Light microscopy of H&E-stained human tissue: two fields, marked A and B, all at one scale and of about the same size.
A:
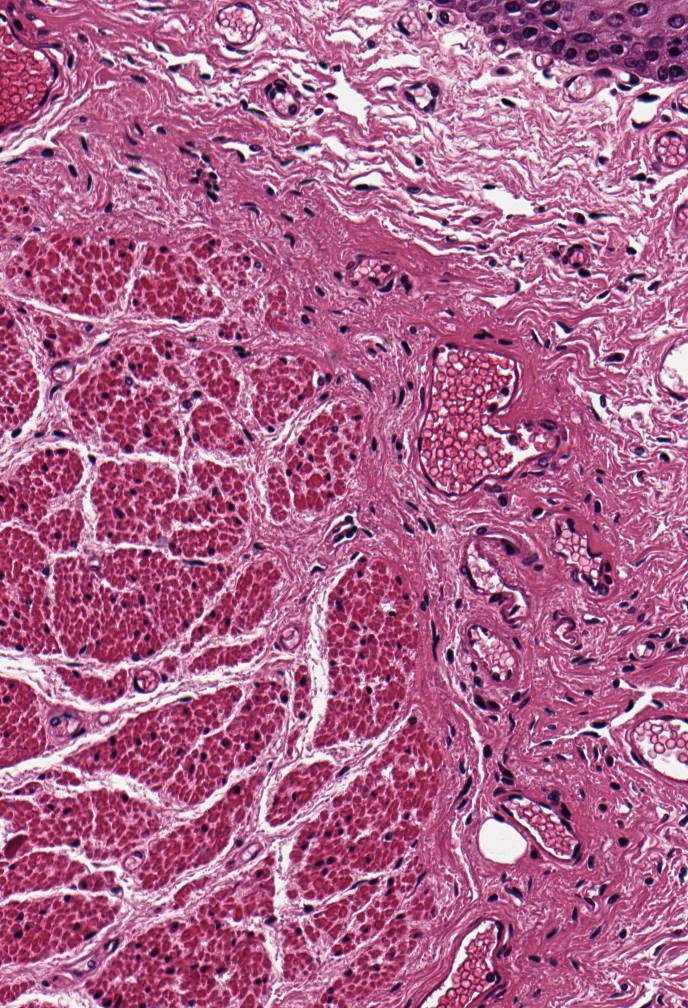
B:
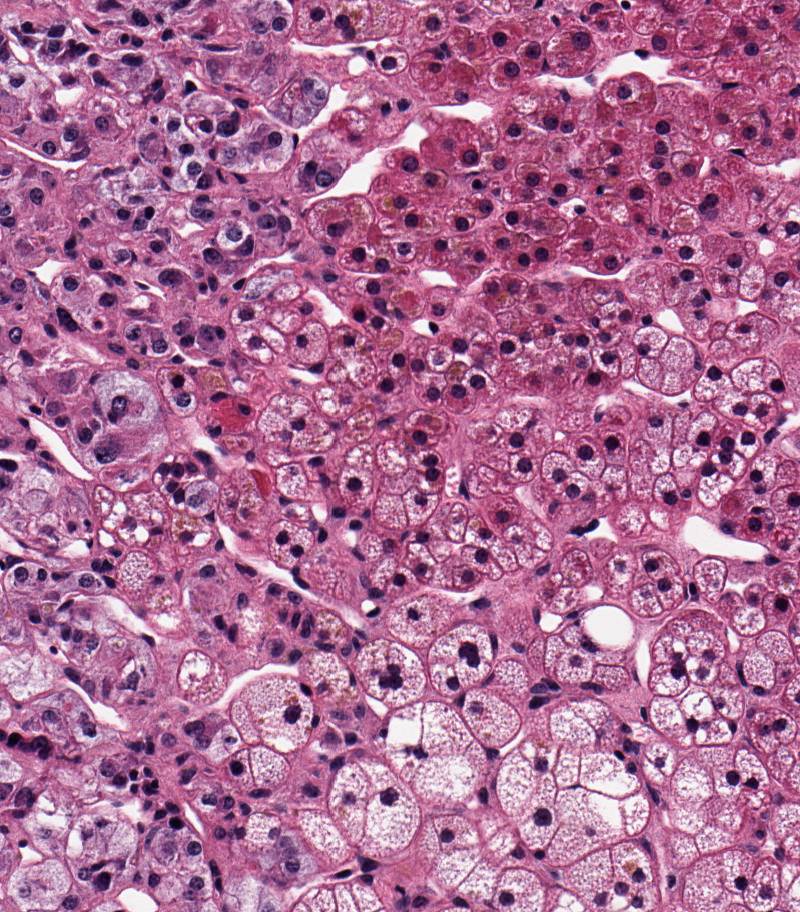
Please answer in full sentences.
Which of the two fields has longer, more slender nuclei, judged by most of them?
Longer, more slender nuclei lie in picture A.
